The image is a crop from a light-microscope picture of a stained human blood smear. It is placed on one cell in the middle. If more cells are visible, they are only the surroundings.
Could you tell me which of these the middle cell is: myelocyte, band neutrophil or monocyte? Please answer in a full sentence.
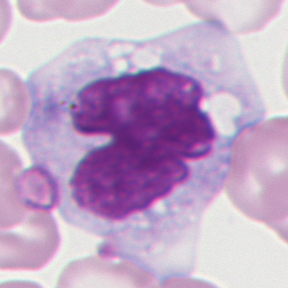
The cell featured at the centre of this crop is a monocyte.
